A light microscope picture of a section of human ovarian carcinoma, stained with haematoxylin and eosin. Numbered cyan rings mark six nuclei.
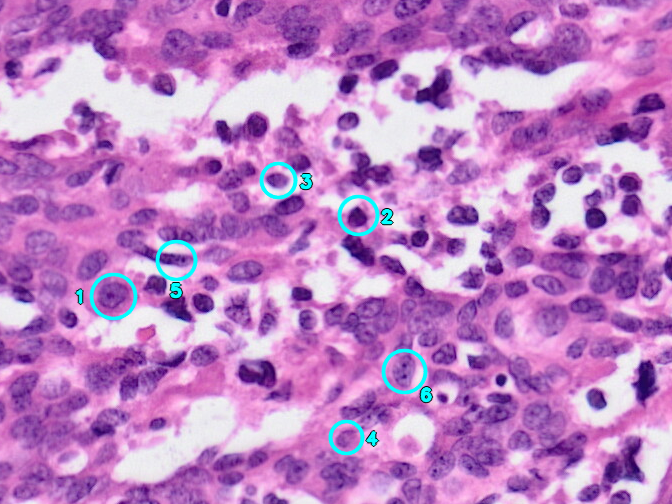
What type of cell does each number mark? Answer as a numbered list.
1. carcinoma cell
2. carcinoma cell
3. carcinoma cell
4. macrophage or monocyte
5. carcinoma cell
6. macrophage or monocyte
